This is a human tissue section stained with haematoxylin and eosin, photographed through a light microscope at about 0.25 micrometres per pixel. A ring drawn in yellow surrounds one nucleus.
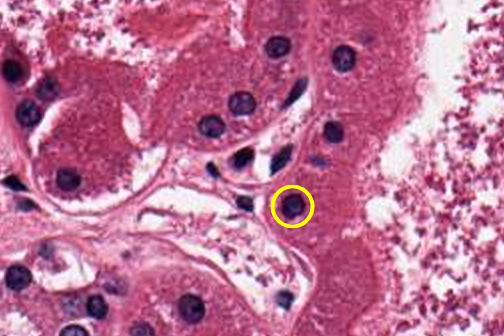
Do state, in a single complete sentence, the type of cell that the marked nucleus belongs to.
The owner of the marked nucleus is a proximal tubule cell.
